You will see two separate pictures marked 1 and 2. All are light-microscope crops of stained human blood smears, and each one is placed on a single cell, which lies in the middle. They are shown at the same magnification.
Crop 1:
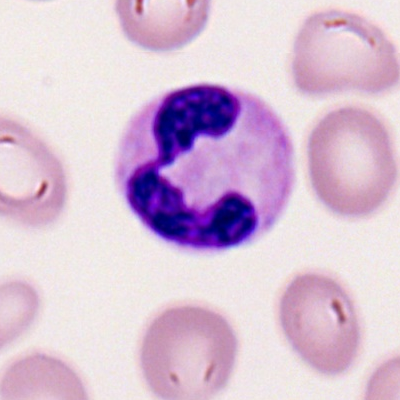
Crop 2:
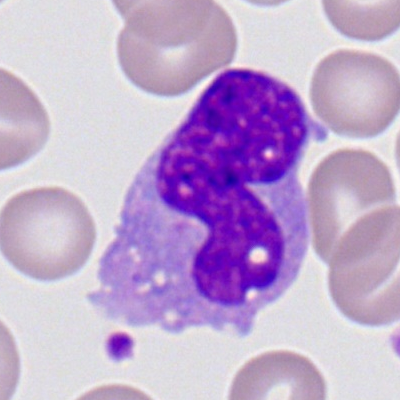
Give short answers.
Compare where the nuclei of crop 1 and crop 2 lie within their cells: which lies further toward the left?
1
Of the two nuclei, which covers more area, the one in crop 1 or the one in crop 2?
2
